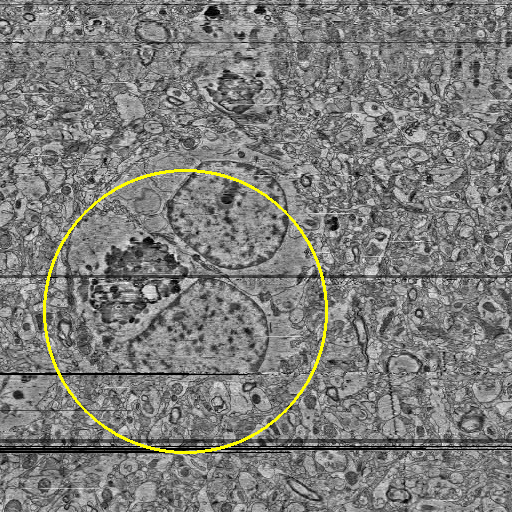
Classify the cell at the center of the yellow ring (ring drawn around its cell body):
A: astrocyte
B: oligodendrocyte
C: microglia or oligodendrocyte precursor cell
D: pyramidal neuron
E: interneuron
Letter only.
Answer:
A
